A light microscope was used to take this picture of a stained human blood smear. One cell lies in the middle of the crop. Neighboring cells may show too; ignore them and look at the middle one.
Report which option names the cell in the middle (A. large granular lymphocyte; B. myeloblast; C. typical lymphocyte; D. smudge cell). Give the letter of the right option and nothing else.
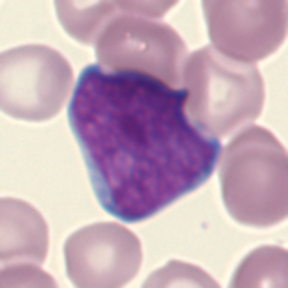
B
